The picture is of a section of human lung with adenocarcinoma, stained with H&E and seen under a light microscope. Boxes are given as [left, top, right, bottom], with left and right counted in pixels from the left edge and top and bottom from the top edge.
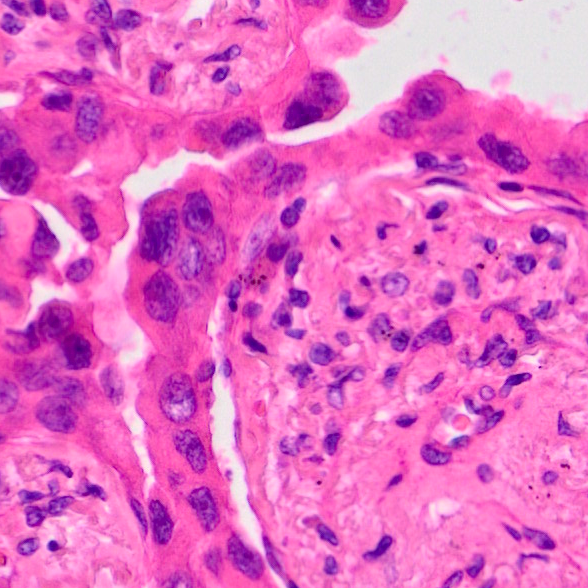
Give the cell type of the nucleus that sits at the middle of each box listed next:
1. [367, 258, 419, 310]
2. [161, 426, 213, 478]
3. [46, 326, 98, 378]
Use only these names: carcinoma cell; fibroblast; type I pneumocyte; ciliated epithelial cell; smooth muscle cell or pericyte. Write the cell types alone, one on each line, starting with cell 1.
fibroblast
carcinoma cell
carcinoma cell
